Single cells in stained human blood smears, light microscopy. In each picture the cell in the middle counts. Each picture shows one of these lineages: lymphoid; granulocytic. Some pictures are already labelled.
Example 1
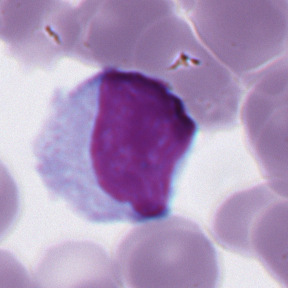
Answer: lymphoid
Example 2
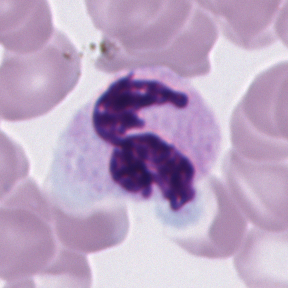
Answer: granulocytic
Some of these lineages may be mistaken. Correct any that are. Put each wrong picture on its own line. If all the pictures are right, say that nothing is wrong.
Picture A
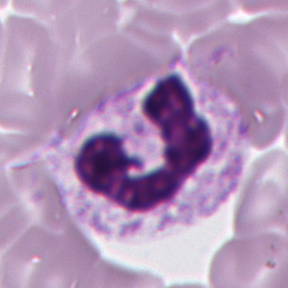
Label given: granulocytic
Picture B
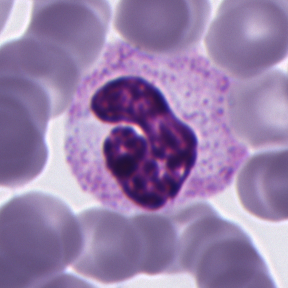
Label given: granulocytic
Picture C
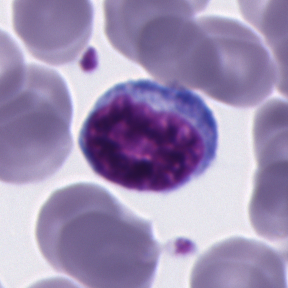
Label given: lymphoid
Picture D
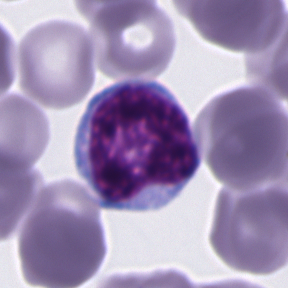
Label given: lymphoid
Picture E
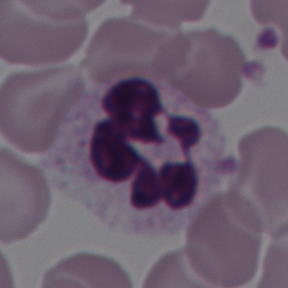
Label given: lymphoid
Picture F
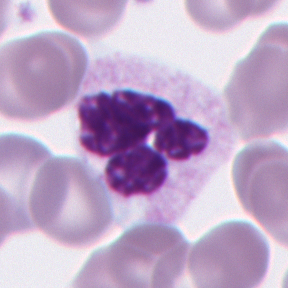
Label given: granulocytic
E should be granulocytic, not lymphoid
